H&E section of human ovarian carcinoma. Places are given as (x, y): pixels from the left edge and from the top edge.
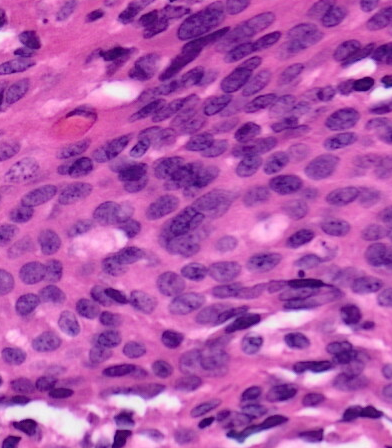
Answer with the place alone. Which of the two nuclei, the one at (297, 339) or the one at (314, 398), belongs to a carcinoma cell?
(314, 398)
